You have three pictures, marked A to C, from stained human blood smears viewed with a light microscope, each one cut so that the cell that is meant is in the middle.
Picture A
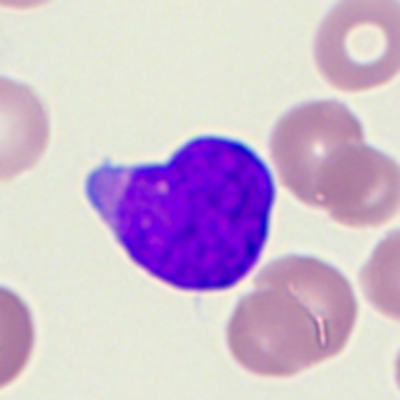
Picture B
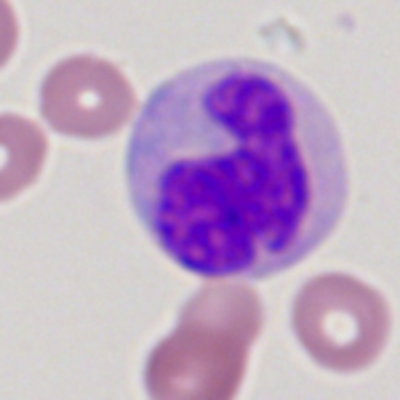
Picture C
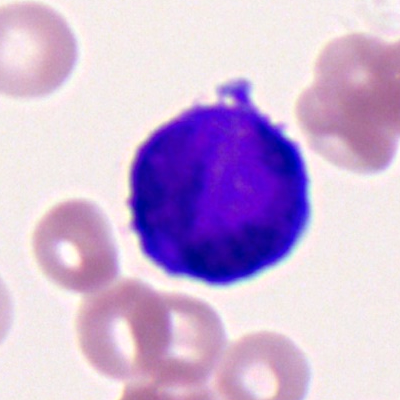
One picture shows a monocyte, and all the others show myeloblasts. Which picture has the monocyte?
B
